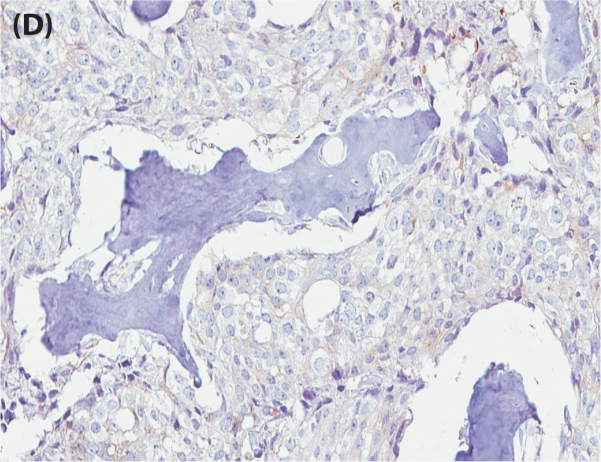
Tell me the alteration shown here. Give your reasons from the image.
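Irregular purple trabeculae of bone cross the field. Sheets of atypical epithelial cells with pale cytoplasm lie between the bone trabeculae. That points to this answer: Bone metastasis.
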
